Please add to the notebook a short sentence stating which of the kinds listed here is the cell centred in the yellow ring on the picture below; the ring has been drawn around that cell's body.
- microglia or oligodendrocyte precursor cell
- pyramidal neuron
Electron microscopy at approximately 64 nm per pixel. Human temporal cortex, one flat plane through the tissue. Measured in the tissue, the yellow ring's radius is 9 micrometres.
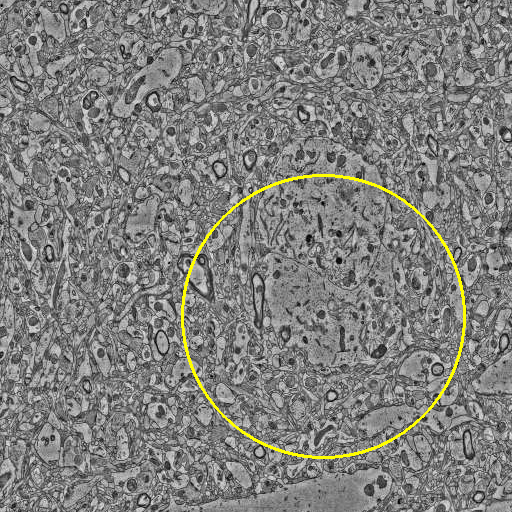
The cell centred in the yellow ring is a microglial cell or oligodendrocyte precursor cell.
